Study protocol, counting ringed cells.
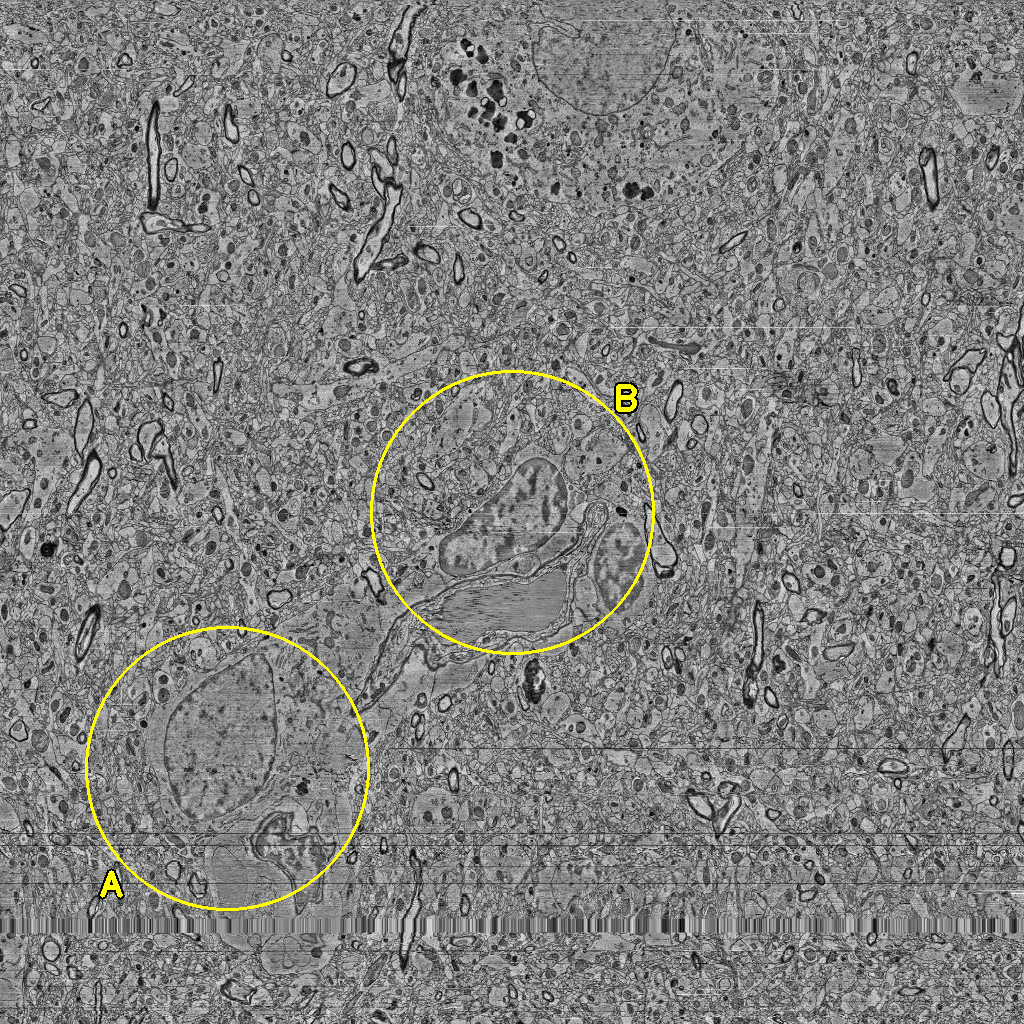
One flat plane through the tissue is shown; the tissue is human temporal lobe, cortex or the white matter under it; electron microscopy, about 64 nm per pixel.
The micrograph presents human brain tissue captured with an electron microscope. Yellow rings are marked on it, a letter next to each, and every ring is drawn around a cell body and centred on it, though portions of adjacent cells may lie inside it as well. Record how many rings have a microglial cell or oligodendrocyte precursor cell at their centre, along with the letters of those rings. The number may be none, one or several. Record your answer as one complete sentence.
The rings labelled A and B come to two, with a microglial cell or oligodendrocyte precursor cell at the centre of every one of them.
